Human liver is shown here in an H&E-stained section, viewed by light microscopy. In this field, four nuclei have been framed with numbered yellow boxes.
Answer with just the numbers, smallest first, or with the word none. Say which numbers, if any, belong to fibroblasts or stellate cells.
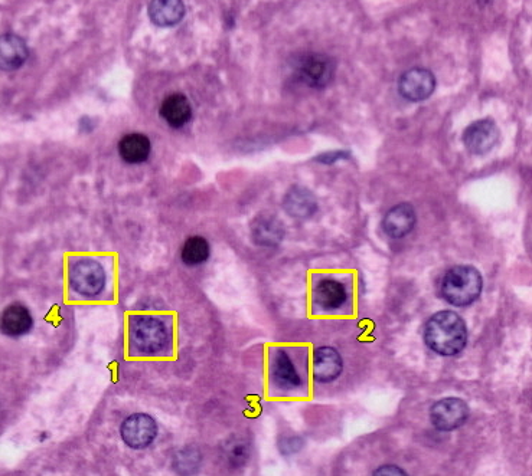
3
